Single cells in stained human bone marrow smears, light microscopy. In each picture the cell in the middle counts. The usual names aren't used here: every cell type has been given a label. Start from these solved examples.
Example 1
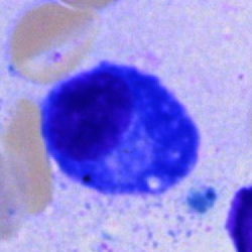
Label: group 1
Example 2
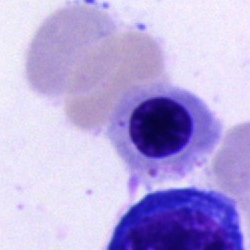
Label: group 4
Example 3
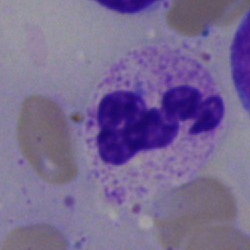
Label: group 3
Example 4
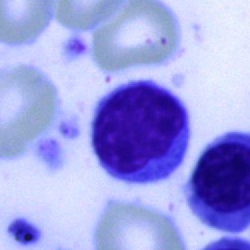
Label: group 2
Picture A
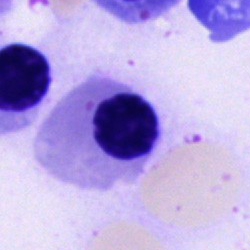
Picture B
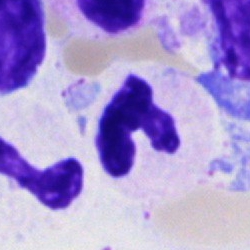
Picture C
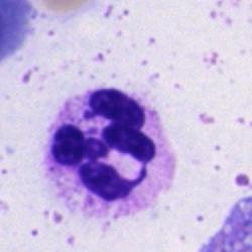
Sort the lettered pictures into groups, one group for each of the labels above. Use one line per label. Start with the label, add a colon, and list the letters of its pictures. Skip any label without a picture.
group 4: A
group 3: B, C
